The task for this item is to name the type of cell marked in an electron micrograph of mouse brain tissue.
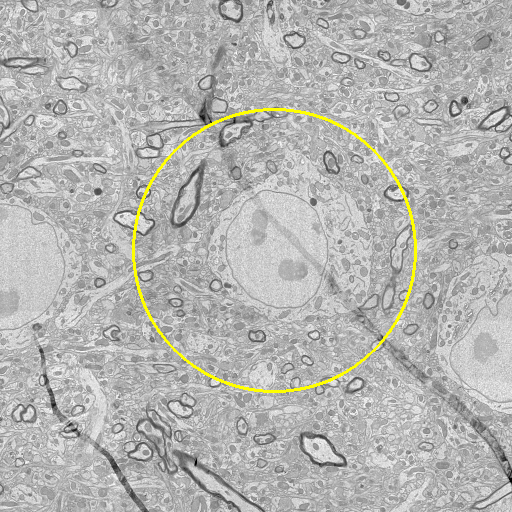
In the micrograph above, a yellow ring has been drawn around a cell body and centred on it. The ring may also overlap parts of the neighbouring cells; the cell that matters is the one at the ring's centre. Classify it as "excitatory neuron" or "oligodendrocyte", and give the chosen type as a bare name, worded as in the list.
excitatory neuron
